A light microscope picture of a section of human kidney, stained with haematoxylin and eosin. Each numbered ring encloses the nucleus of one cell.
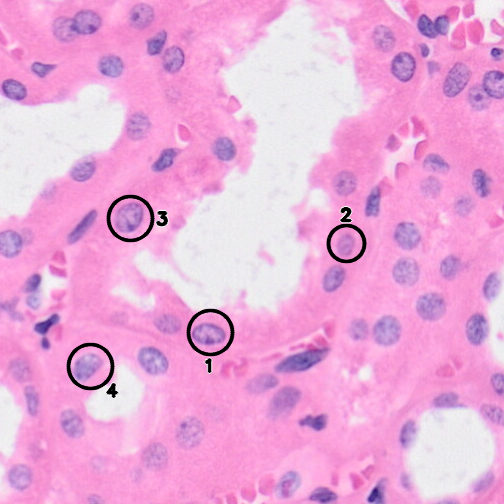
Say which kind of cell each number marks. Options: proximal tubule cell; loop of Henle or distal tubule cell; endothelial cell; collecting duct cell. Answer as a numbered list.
1. proximal tubule cell
2. proximal tubule cell
3. proximal tubule cell
4. loop of Henle or distal tubule cell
